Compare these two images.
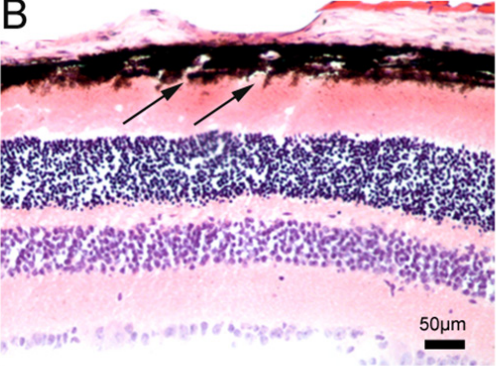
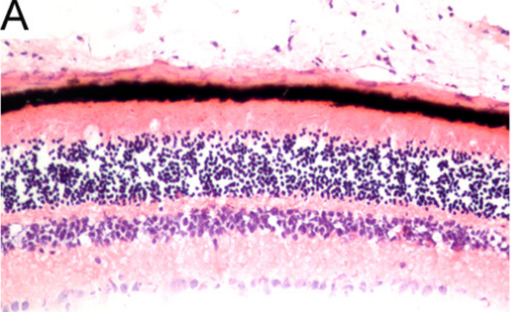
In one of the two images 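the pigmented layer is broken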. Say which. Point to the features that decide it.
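The first image. Second image: the black pigmented band is continuous and even. First image: the black pigmented band shows clear gaps and a ragged outline.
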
